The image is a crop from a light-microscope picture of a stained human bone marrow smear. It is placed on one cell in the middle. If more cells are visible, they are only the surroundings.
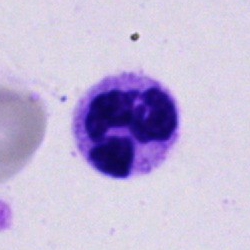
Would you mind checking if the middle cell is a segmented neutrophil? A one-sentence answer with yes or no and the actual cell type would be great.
Yes, the cell in the exact middle is a segmented neutrophil.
